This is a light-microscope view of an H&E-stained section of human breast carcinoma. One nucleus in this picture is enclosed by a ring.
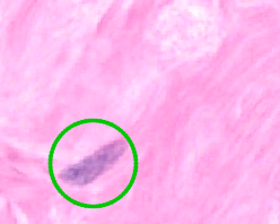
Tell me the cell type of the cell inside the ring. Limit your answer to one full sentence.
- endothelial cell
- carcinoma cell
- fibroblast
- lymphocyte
In this tissue sample, the cell inside the ring is a fibroblast.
